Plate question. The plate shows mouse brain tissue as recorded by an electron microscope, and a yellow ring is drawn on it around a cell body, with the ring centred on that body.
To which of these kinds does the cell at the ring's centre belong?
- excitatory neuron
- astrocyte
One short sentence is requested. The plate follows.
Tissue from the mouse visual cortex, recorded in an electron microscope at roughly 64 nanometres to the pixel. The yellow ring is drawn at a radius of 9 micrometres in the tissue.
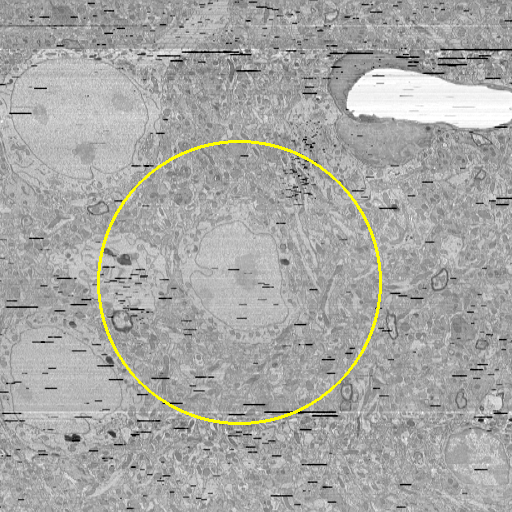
The cell at the ring's centre is an excitatory neuron.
